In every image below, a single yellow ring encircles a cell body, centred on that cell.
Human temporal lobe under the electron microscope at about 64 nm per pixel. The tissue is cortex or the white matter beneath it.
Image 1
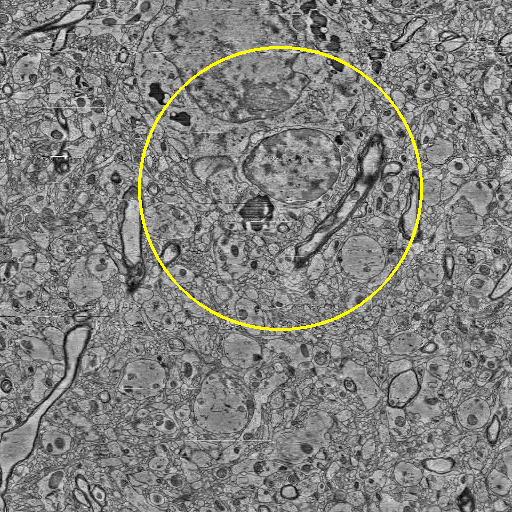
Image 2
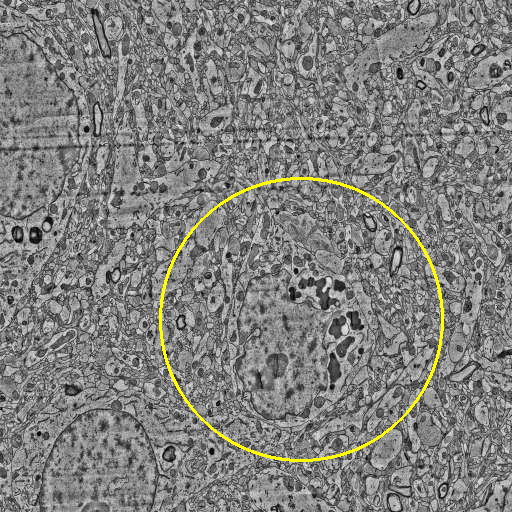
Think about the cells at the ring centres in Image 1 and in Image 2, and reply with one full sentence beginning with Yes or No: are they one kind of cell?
No, the cells centred in the rings of Image 1 and Image 2 are two kinds of cell.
